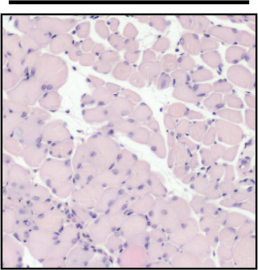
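Skeletal muscle in cross-section, showing muscle fibers as pink profiles with peripheral purple nuclei. Many fibers are small and rounded rather than polygonal, and fiber size varies widely across the field, with small profiles mixed among larger ones. Wide pale interstitial spaces open between groups of fibers, especially toward the upper middle of the field. Nuclei appear crowded in places between the small fibers. The overall architecture is disordered compared with tightly packed normal muscle.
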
